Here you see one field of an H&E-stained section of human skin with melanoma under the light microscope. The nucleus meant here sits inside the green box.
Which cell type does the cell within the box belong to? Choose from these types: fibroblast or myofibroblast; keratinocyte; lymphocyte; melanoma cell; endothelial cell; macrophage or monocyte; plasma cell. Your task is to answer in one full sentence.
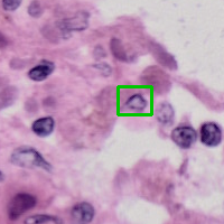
The correct response here is that the cell within the box is a macrophage or monocyte.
